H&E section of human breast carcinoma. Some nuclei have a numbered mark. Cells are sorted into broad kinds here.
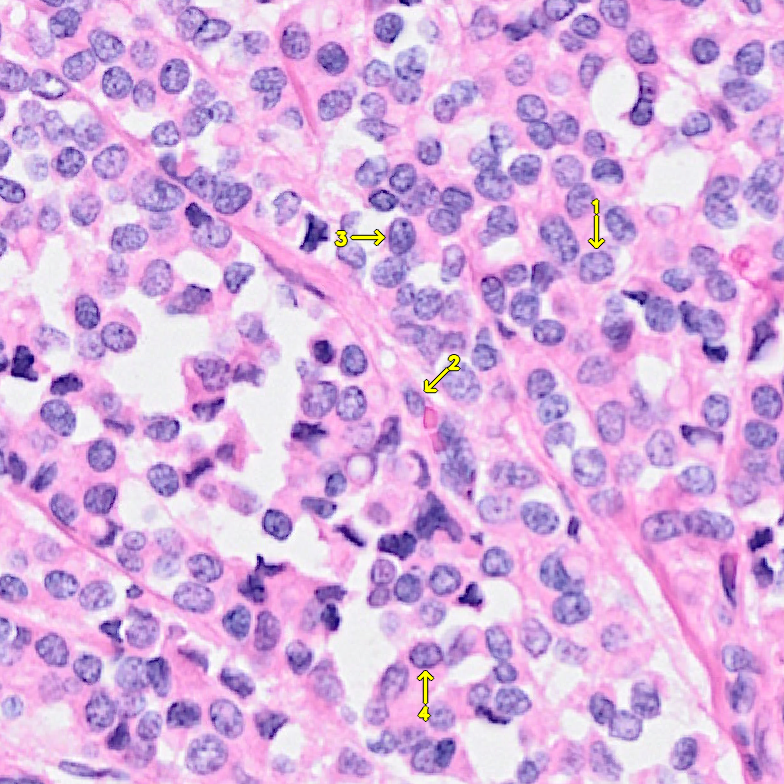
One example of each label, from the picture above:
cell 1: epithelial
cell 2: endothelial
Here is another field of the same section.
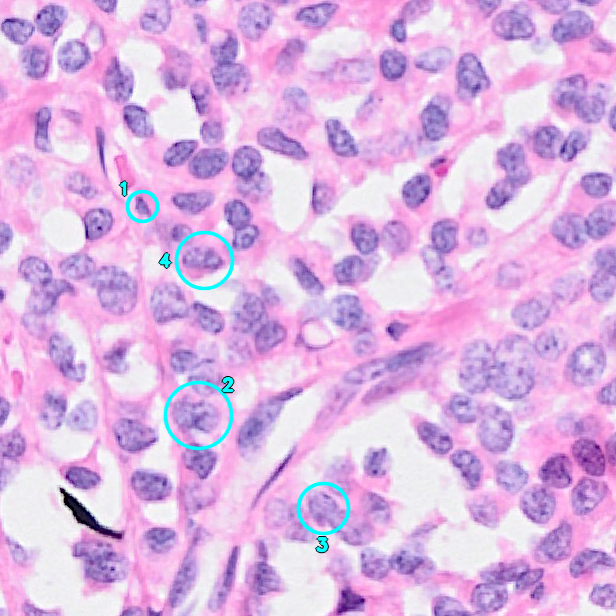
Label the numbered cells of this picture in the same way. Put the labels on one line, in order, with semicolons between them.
endothelial; epithelial; epithelial; epithelial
